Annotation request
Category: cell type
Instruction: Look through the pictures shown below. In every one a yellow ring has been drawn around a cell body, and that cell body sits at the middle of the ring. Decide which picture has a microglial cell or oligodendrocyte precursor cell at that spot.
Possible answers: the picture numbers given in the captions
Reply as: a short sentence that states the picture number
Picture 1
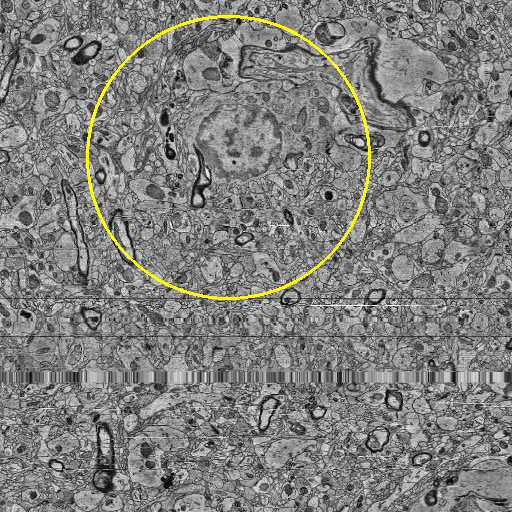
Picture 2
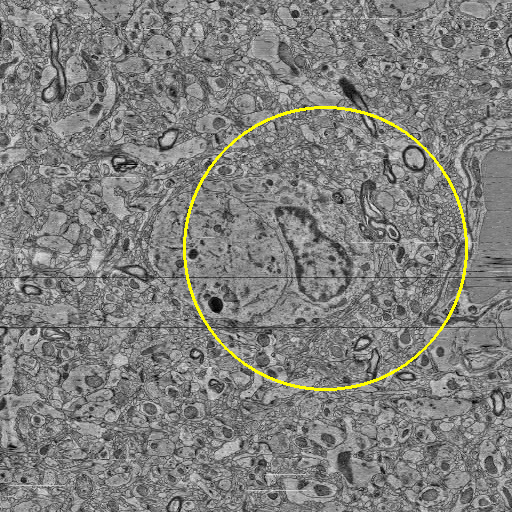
It is in Picture 2.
